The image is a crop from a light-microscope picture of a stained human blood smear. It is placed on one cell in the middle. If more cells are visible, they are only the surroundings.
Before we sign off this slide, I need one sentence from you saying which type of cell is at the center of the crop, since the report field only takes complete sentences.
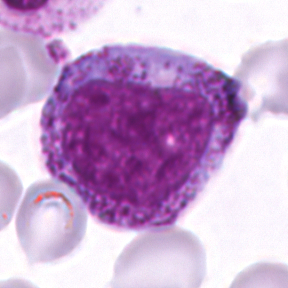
The cell shown in the center of this light-microscope crop is a promyelocyte.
